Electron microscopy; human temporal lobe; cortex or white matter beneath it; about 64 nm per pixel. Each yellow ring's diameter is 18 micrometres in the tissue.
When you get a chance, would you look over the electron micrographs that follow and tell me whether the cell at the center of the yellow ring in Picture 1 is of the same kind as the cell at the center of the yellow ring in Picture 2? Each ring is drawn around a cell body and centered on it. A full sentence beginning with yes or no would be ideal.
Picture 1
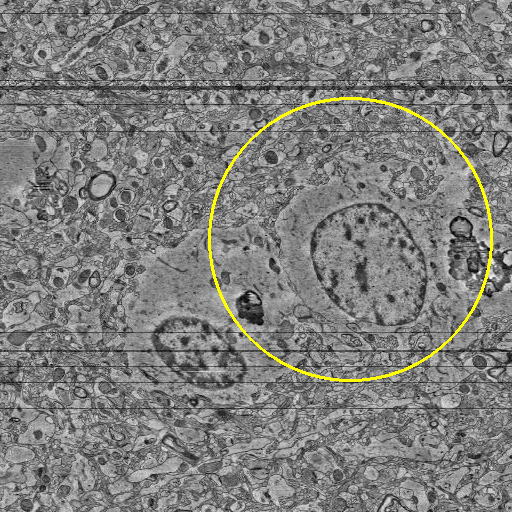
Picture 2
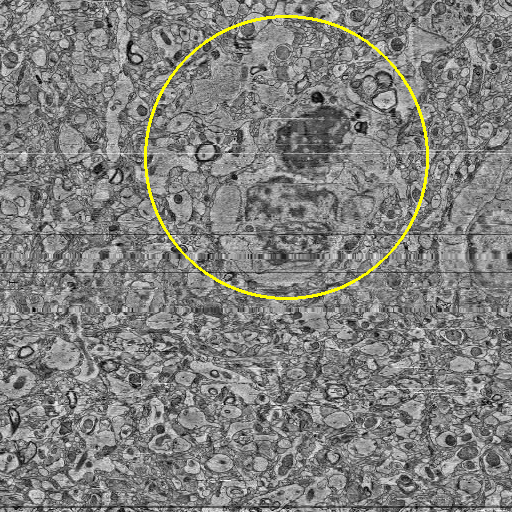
No, they are two kinds of cell.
